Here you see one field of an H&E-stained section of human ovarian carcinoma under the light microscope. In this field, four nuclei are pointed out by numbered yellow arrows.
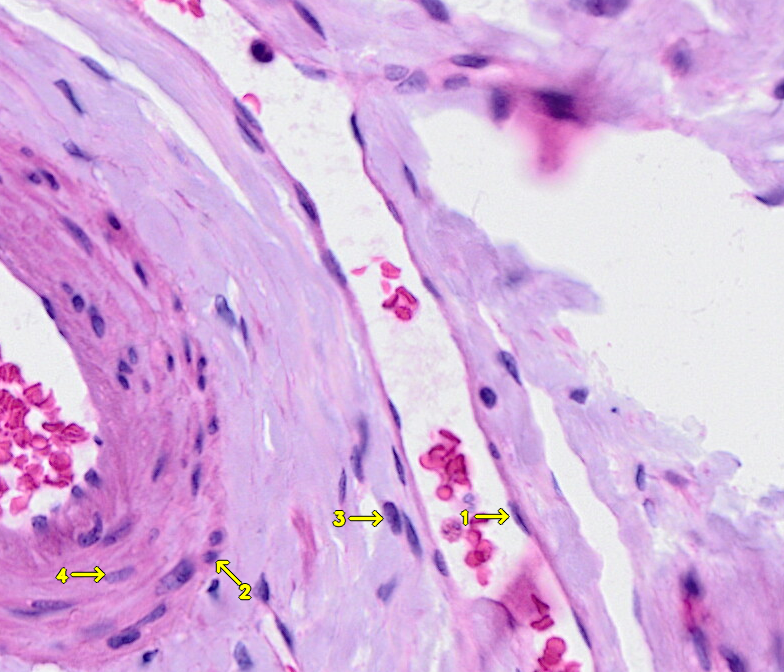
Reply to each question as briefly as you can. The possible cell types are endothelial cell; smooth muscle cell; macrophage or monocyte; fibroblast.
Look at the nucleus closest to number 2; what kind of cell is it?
smooth muscle cell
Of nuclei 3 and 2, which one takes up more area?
3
